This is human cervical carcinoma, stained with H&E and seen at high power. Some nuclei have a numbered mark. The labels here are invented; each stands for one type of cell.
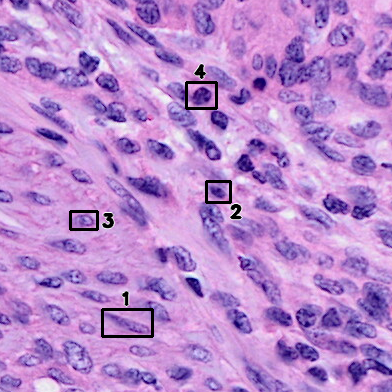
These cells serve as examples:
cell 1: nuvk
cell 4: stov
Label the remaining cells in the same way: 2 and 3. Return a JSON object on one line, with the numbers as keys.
{"2": "stov", "3": "nuvk"}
